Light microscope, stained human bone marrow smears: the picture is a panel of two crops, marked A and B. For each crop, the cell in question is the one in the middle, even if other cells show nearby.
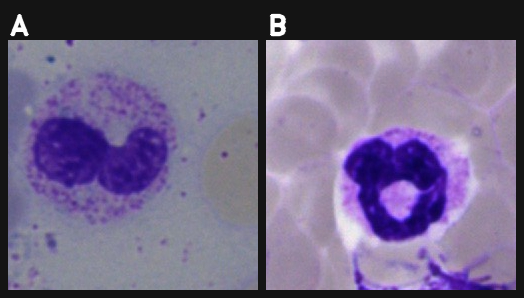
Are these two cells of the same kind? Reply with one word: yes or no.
yes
